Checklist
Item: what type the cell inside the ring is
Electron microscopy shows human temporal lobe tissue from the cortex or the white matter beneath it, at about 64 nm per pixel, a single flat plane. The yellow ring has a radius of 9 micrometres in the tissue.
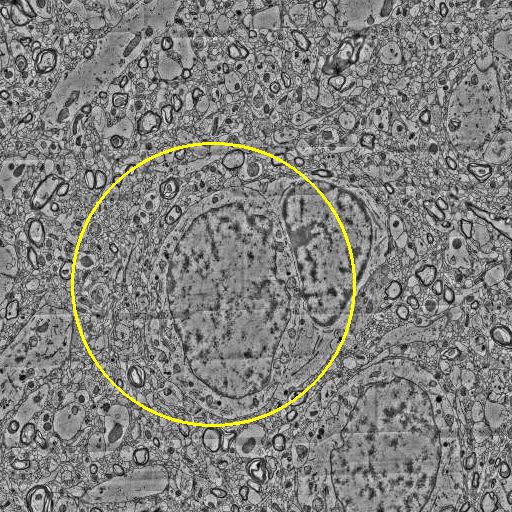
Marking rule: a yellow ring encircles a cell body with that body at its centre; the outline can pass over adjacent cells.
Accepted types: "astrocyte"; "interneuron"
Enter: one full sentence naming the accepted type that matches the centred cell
The entry is that an interneuron lies at the centre of the yellow ring.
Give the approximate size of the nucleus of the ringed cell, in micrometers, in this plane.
In this plane the nucleus is roughly 12 by 8 micrometres, clearly longer than it is wide.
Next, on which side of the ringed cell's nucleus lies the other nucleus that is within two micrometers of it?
The other nucleus lies to the upper right of it.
